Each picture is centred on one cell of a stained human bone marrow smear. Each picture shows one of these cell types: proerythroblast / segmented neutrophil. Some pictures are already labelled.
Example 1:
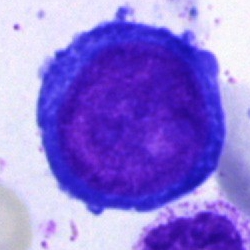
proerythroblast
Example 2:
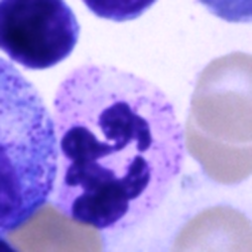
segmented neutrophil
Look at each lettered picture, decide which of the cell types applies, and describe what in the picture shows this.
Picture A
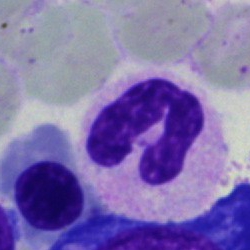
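segmented neutrophil. Evidence: The cytoplasm is abundant and pale pinkish-lilac.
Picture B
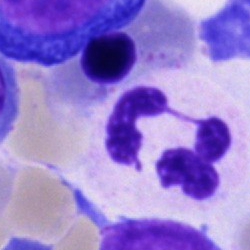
segmented neutrophil. Evidence: The chromatin is dark purple and coarsely clumped.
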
